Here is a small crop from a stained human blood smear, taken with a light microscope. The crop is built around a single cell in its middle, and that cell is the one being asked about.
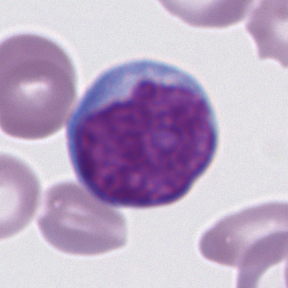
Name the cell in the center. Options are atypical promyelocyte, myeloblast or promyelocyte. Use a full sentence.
The identification for the central cell is a myeloblast.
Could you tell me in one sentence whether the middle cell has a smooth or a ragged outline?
A smooth, projection-free outline is what this cell has.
